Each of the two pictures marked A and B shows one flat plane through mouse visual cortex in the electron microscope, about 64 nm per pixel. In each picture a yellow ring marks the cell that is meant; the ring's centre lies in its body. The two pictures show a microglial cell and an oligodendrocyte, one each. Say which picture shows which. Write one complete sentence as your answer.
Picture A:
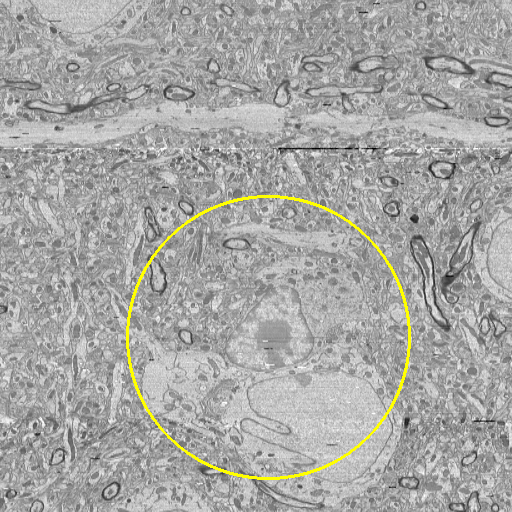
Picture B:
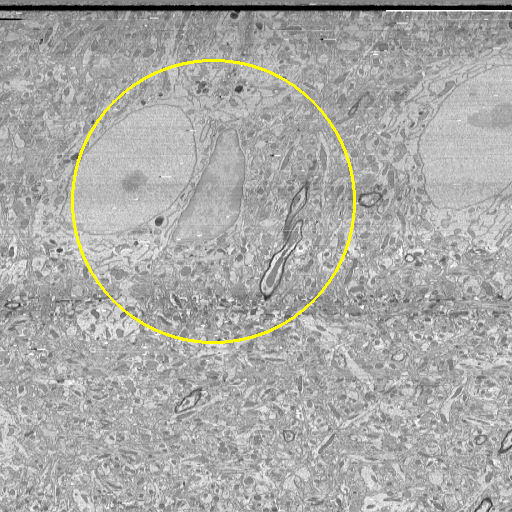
Picture A is of an oligodendrocyte, and picture B is of a microglial cell.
